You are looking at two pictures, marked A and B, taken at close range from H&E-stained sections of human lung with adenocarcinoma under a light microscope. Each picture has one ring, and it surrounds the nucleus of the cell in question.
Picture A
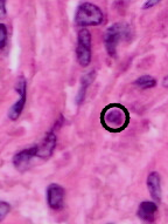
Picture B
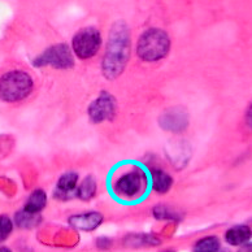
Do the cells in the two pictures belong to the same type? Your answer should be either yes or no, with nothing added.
no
